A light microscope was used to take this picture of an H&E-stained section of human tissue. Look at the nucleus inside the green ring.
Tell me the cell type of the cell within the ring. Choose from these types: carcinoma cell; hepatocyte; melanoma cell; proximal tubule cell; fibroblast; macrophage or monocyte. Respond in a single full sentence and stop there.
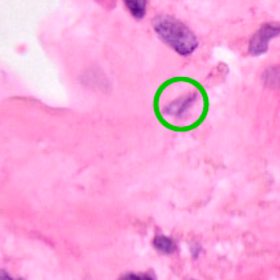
Students should answer that the cell within the ring is a fibroblast.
